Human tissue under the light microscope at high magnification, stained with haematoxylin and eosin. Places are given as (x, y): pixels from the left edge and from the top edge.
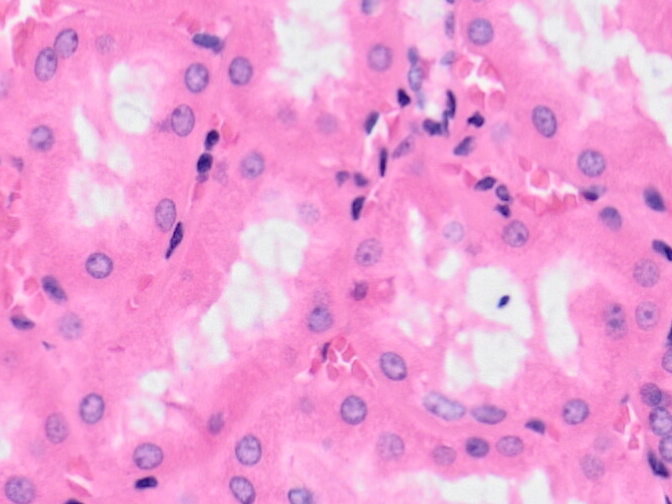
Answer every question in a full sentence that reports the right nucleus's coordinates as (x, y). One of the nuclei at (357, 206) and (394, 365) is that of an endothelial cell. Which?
Located at (357, 206), this nucleus is the one belonging to an endothelial cell.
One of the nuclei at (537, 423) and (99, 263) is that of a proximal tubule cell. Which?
Identified as belonging to a proximal tubule cell is the nucleus at (99, 263).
